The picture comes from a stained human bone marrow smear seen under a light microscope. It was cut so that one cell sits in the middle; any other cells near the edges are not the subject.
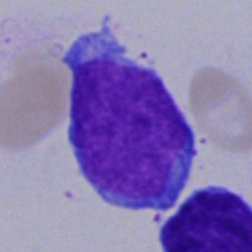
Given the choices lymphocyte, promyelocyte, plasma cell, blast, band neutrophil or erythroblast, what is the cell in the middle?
blast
